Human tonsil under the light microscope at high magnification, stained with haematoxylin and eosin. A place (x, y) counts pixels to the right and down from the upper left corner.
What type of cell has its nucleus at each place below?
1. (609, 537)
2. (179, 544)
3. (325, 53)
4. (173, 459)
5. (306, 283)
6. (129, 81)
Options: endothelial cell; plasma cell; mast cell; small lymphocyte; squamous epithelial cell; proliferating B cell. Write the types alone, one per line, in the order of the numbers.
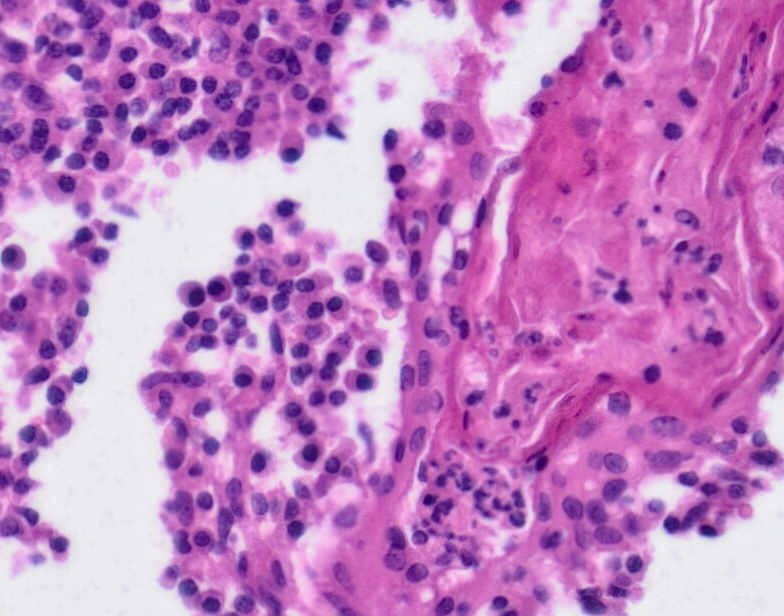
squamous epithelial cell
squamous epithelial cell
plasma cell
squamous epithelial cell
plasma cell
plasma cell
